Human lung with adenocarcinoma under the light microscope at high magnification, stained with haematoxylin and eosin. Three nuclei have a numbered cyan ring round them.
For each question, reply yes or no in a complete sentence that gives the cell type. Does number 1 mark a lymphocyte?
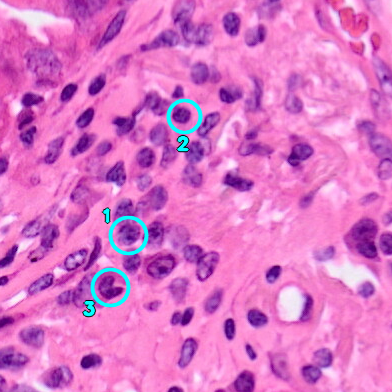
Yes, the marked cell with number 1 is a lymphocyte.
